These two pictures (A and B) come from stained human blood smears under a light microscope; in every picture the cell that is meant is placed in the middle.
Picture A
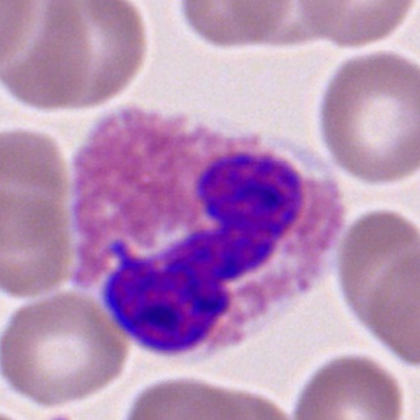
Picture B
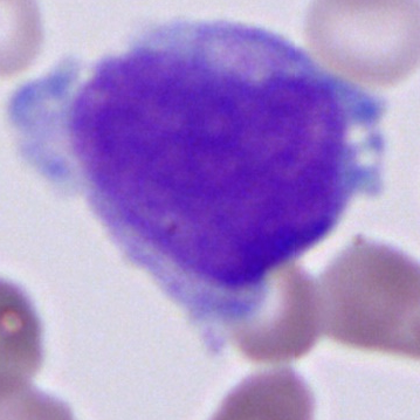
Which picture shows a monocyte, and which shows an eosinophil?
A: eosinophil
B: monocyte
